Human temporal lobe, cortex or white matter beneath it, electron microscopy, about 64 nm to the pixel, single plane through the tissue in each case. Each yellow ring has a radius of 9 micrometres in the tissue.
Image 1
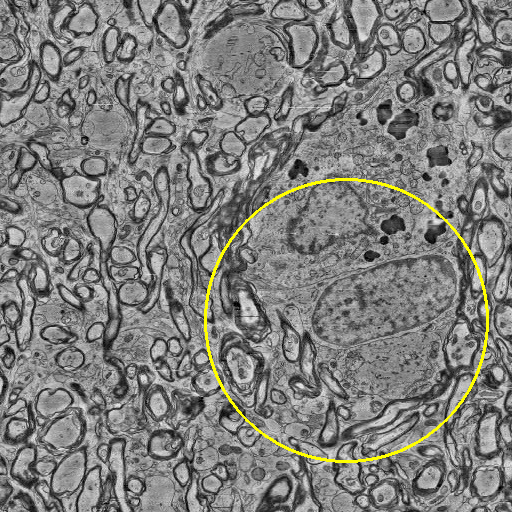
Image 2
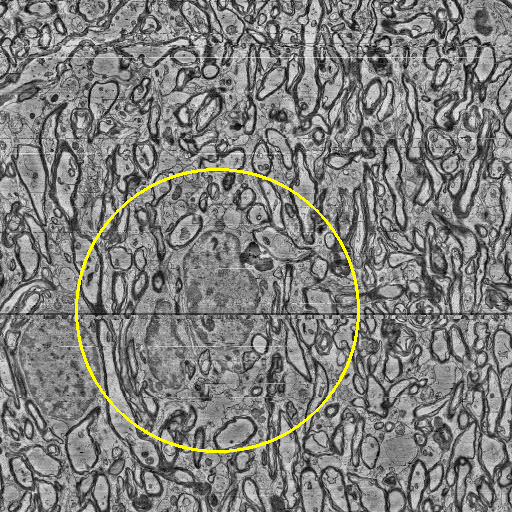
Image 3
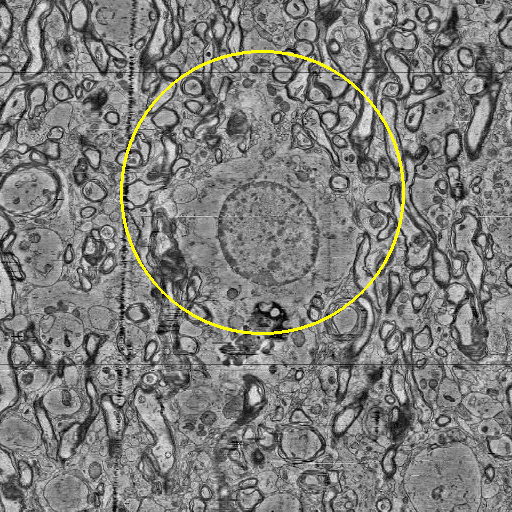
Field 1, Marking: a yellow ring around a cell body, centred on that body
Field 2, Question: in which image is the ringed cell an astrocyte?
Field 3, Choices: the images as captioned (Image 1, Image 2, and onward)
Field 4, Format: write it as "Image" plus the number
Image 3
